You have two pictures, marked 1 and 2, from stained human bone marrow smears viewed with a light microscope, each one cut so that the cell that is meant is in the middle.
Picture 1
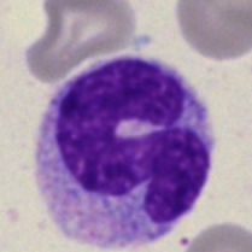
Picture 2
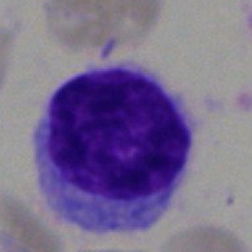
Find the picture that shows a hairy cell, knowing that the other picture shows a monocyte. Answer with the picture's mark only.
2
